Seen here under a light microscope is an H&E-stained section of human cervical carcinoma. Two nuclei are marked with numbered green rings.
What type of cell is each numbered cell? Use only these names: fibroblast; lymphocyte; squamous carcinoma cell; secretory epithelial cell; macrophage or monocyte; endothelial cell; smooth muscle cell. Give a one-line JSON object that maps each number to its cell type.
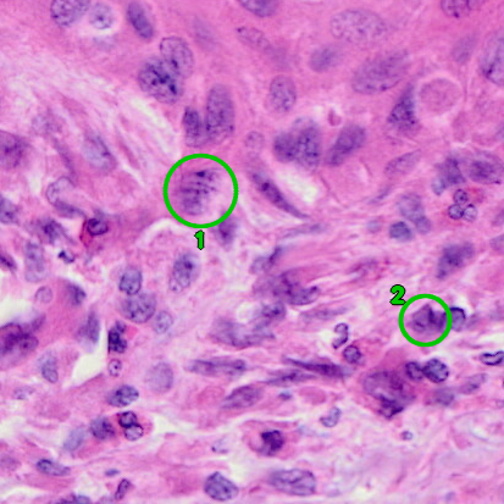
{"1": "squamous carcinoma cell", "2": "macrophage or monocyte"}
